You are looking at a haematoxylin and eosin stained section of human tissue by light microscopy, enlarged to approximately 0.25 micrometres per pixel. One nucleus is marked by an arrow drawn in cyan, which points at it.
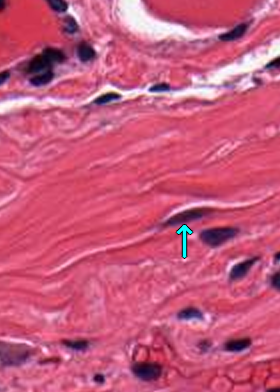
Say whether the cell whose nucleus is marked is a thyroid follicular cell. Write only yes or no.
no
